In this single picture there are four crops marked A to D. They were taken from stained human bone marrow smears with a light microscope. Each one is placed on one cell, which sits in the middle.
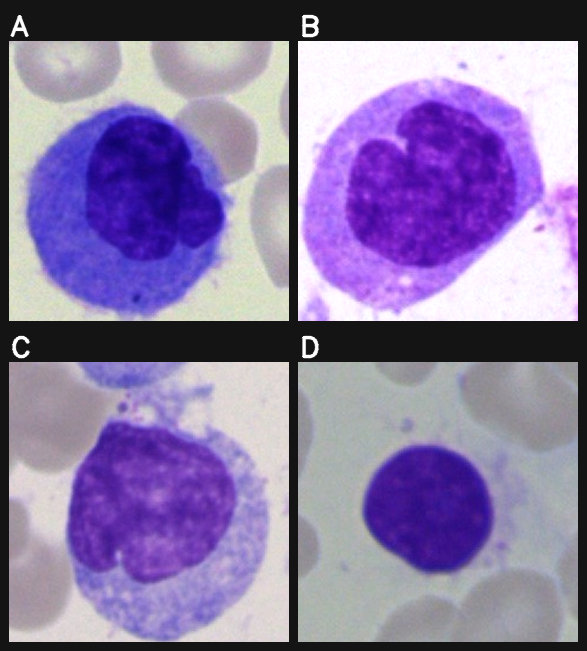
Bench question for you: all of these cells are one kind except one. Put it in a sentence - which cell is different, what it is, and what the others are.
Crop D holds a lymphocyte, unlike the remaining crops, all of which hold monocytes.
